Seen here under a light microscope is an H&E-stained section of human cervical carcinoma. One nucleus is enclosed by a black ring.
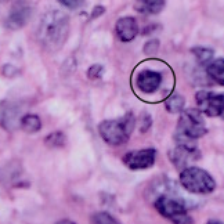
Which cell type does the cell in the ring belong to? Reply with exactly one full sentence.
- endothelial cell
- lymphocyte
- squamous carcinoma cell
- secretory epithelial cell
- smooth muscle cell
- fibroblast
In this field of tissue, the cell in the ring is a lymphocyte.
